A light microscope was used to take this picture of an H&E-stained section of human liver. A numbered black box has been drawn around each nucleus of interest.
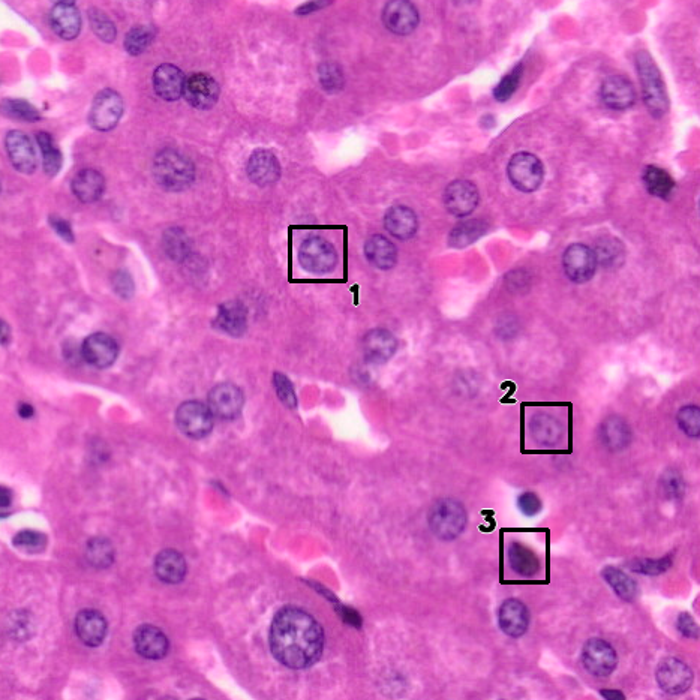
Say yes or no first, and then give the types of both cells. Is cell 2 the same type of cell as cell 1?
Yes, both of the numbered cells concerned, 2 and 1, are hepatocytes.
